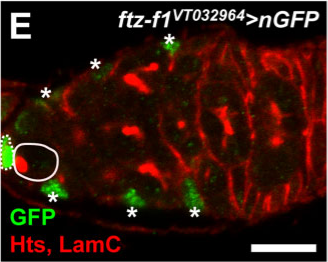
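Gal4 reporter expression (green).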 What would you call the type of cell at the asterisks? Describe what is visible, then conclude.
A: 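Escort cells. Small green cells lie at the periphery of the anterior germarium.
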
